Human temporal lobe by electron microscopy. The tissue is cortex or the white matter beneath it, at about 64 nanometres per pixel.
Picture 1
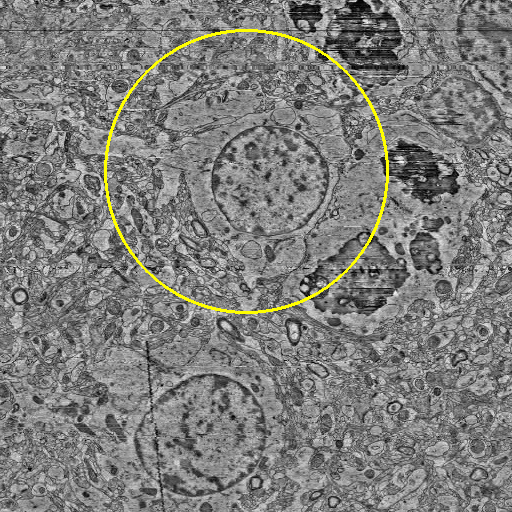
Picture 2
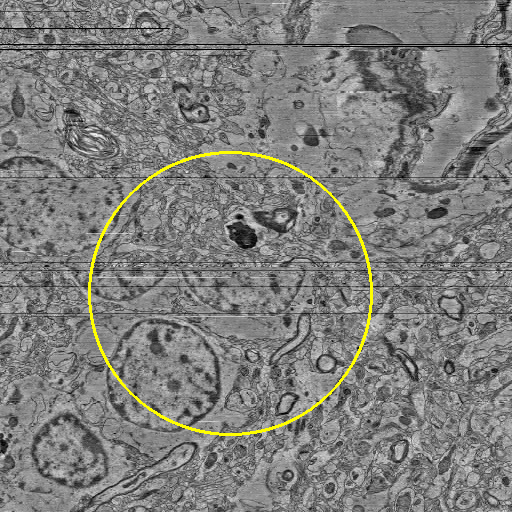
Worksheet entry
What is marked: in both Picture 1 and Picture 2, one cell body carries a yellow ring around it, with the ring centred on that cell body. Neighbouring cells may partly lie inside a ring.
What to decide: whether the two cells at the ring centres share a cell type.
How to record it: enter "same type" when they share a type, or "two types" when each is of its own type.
same type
